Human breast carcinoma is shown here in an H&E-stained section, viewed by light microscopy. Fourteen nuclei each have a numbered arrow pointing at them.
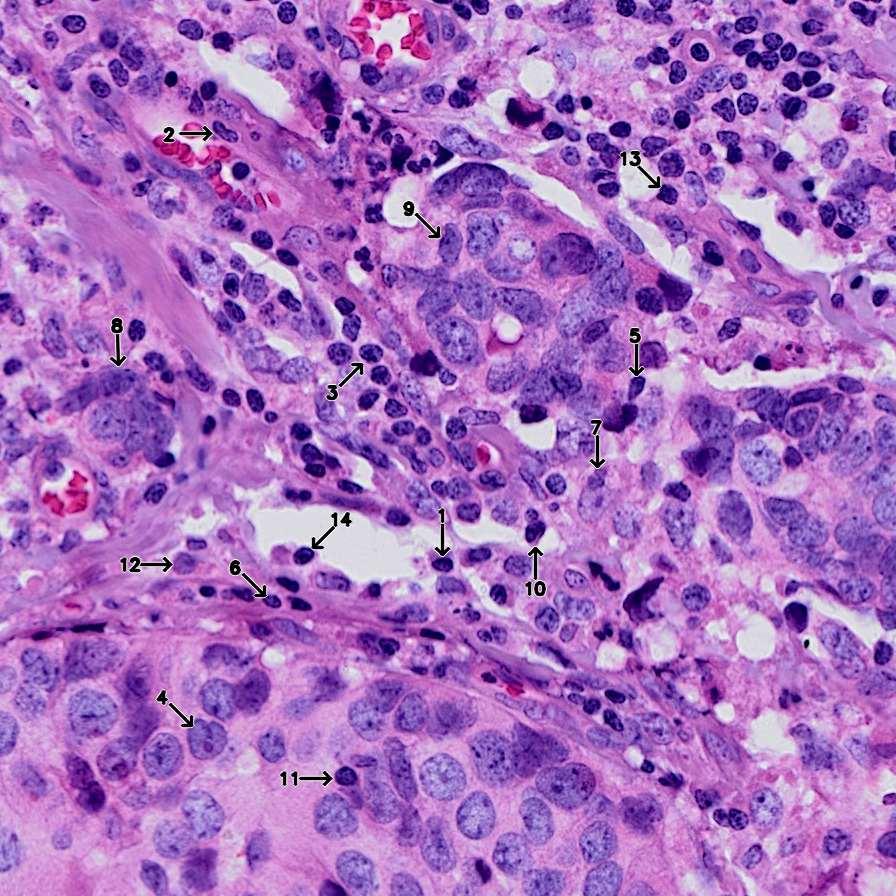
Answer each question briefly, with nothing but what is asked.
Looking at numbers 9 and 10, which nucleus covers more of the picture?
9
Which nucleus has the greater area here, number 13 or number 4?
4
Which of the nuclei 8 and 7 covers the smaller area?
7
